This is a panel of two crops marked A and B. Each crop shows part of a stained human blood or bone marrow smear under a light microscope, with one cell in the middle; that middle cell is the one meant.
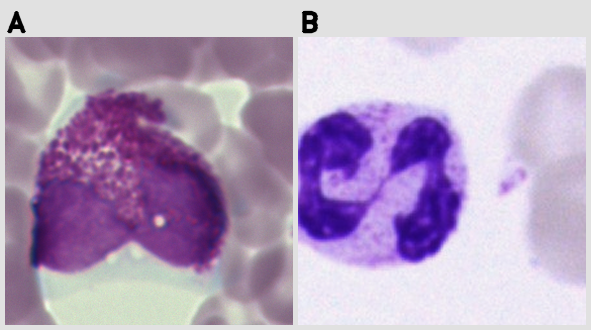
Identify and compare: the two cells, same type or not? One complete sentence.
No, sorry, crop A shows an eosinophil and crop B shows a neutrophil.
